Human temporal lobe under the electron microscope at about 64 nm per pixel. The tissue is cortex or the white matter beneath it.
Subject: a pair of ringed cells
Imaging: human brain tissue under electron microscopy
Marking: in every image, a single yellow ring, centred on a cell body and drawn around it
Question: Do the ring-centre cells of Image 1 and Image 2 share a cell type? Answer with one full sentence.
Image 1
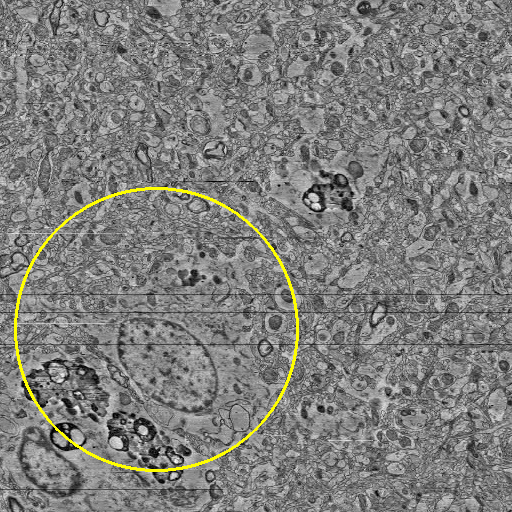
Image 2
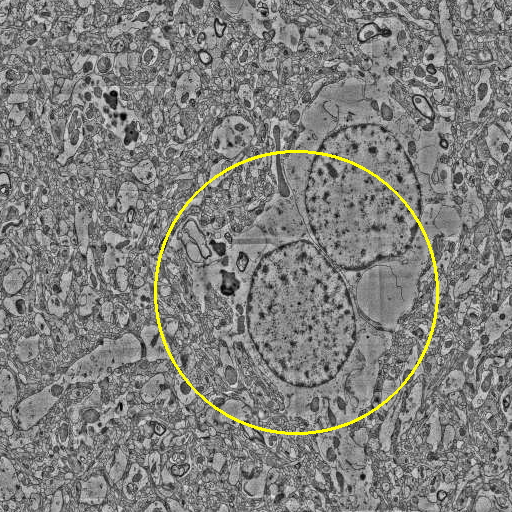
Yes, at each ring's centre in the images sits a cell of one common type.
